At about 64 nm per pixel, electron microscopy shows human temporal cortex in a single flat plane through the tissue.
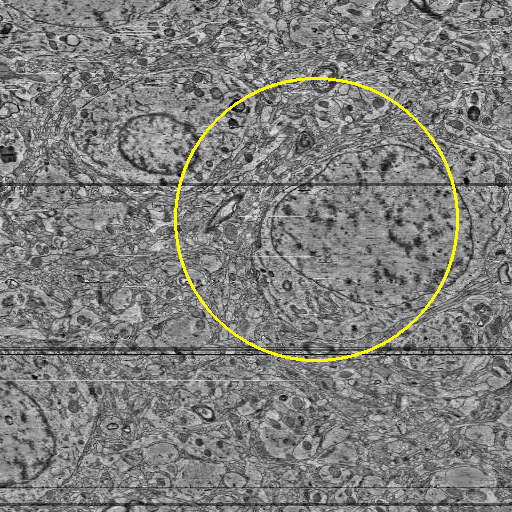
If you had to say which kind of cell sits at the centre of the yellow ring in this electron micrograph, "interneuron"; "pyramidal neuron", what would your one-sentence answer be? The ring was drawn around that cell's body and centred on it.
The cell sitting at the centre of the ring is a pyramidal neuron.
